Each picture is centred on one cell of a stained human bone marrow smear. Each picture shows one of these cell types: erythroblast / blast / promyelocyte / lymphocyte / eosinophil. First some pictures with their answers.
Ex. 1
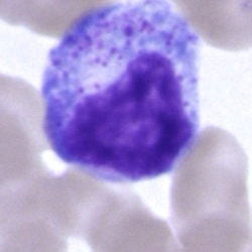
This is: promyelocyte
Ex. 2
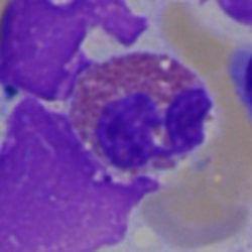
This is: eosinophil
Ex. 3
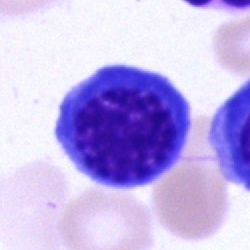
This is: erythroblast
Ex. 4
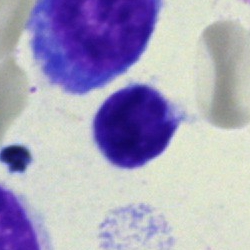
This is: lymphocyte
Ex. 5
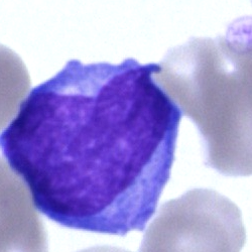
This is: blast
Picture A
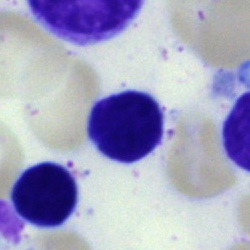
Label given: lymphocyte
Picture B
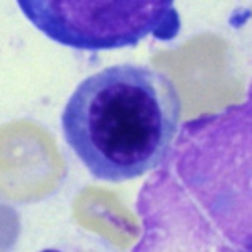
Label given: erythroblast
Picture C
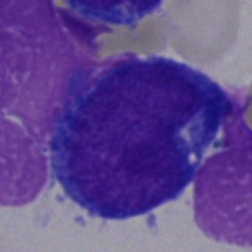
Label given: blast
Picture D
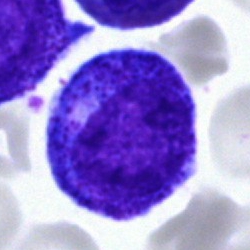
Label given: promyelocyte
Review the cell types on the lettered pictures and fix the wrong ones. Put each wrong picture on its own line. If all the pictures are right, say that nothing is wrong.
All correct.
